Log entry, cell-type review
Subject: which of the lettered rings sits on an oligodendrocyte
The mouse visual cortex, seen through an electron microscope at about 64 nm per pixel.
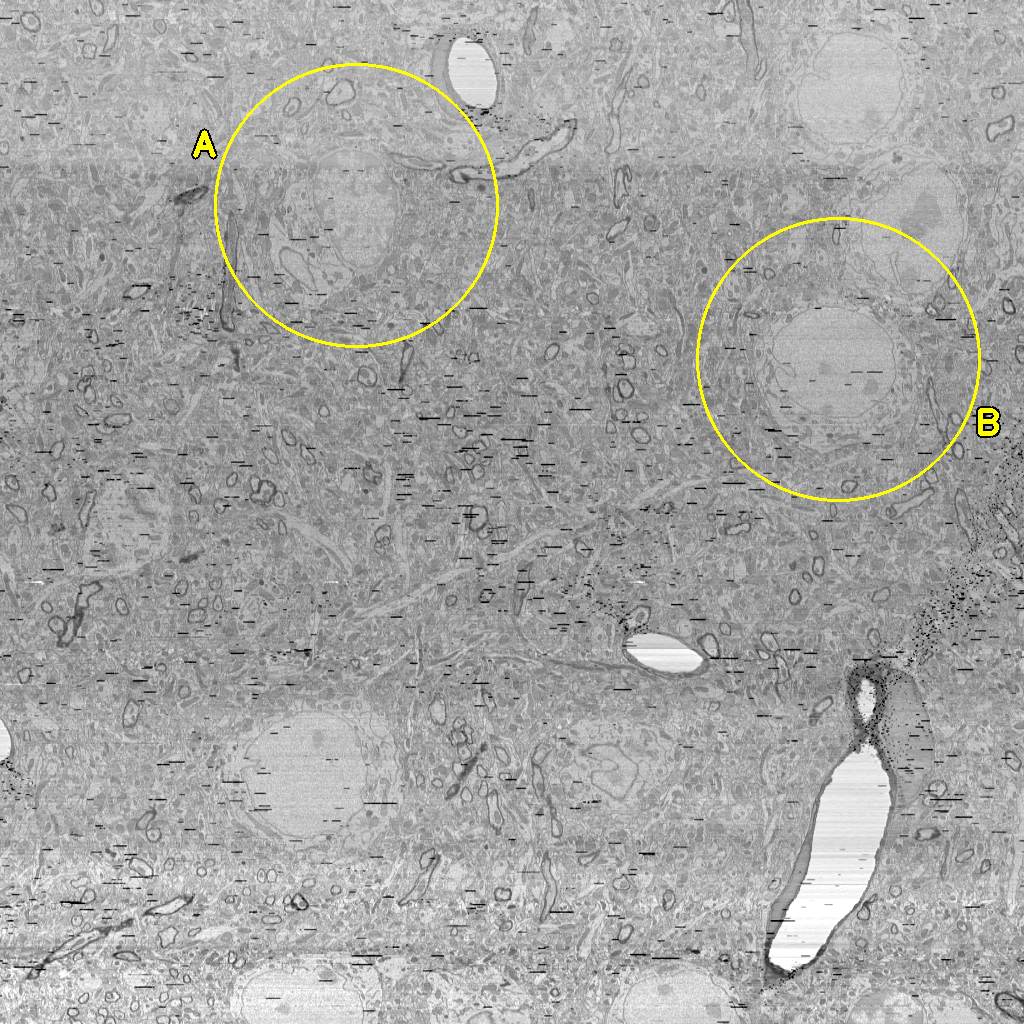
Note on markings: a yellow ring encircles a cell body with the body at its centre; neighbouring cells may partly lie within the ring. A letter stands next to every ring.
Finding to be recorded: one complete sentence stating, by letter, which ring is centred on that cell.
The cell sits at the centre of ring A.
